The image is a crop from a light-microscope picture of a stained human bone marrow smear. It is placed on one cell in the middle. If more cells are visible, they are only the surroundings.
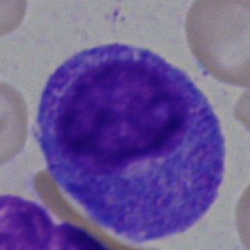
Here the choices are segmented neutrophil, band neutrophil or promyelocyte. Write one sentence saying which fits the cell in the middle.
By type, the central cell of the crop is a promyelocyte.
